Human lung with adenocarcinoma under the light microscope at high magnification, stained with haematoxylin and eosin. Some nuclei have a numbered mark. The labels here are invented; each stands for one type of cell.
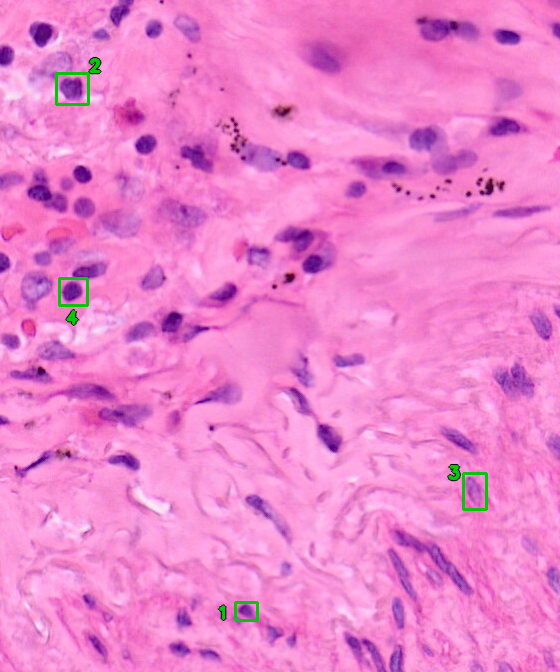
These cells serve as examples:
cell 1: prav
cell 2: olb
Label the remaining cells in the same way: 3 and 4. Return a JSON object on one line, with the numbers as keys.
{"3": "prav", "4": "olb"}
